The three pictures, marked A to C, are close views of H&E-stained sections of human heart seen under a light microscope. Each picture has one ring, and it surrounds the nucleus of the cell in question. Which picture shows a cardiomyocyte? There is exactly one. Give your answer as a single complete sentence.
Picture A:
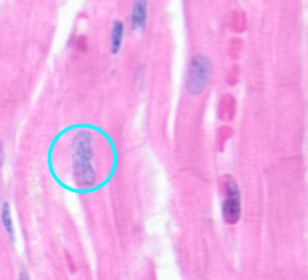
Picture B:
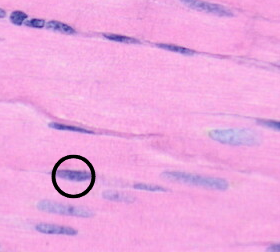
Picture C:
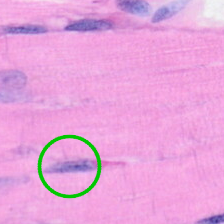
The picture with the cardiomyocyte is A.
